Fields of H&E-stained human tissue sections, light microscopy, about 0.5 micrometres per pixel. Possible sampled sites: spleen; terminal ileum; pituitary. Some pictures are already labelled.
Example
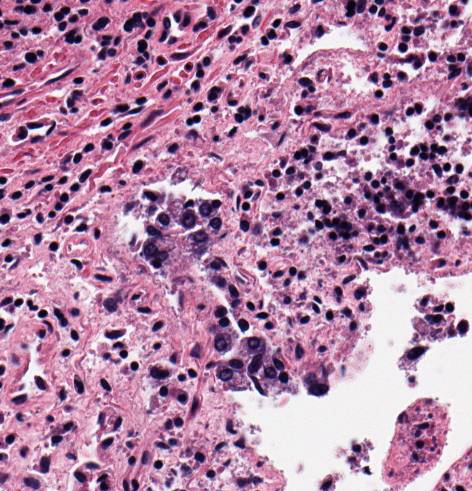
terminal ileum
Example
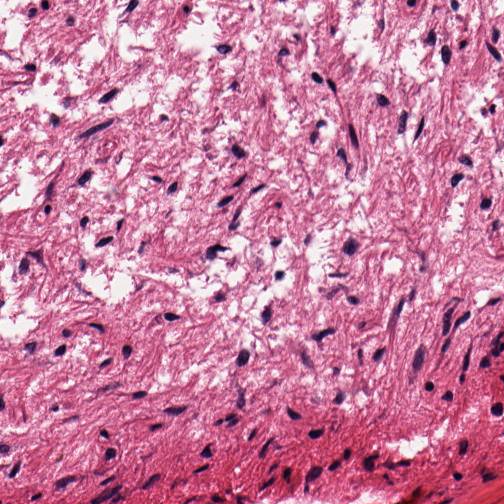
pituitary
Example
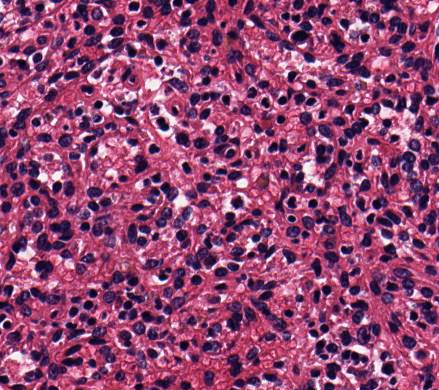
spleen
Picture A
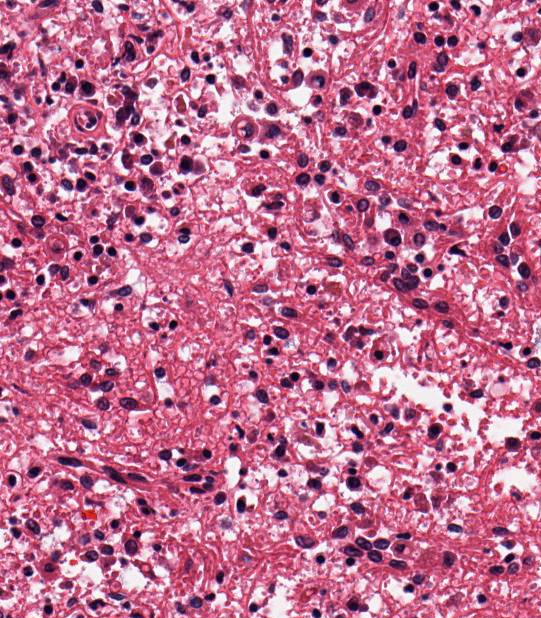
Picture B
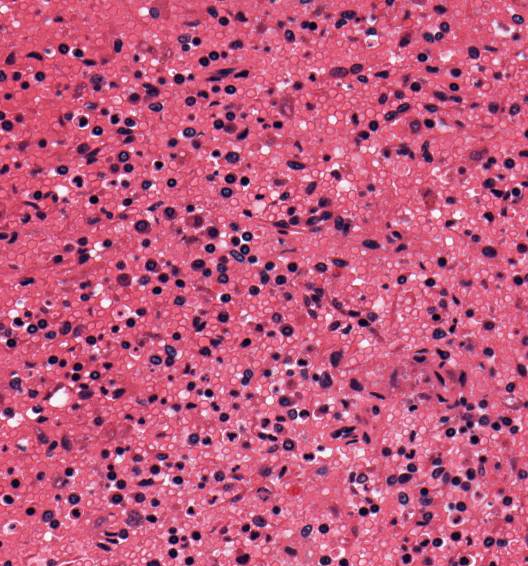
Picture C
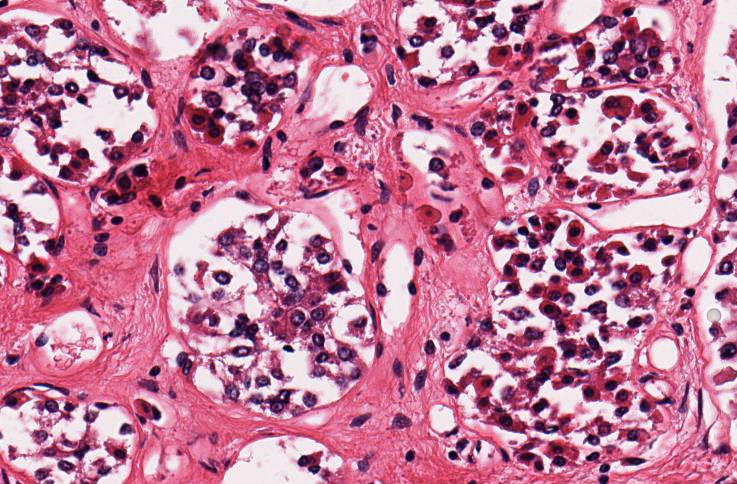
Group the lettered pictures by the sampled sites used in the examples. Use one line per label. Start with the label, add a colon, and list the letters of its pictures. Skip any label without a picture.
spleen: A, B
pituitary: C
